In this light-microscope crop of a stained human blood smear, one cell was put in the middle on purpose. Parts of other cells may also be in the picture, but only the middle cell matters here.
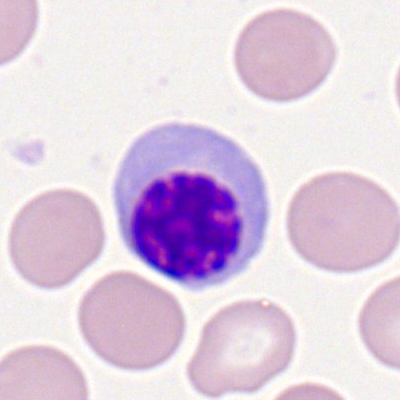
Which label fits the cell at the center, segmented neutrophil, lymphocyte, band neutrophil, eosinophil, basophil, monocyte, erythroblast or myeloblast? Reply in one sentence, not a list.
The target cell in the middle of the crop is an erythroblast.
